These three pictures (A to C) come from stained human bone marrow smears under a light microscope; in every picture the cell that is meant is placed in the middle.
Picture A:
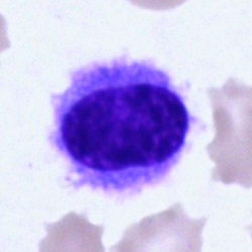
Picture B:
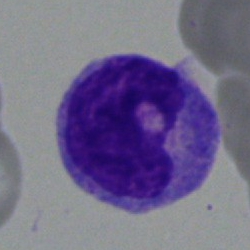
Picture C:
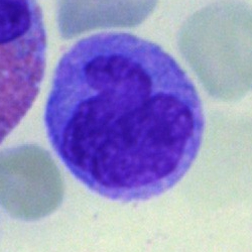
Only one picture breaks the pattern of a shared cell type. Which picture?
A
